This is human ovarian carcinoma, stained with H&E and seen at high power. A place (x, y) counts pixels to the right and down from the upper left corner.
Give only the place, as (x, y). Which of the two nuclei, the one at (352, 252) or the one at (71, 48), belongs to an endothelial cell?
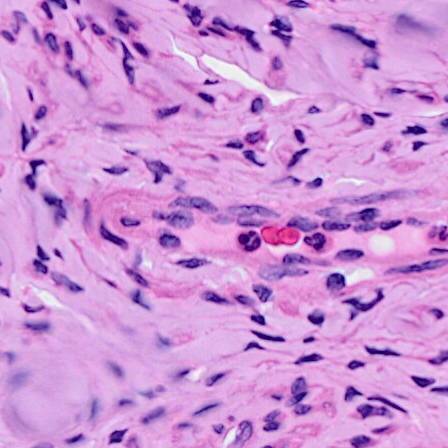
(352, 252)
